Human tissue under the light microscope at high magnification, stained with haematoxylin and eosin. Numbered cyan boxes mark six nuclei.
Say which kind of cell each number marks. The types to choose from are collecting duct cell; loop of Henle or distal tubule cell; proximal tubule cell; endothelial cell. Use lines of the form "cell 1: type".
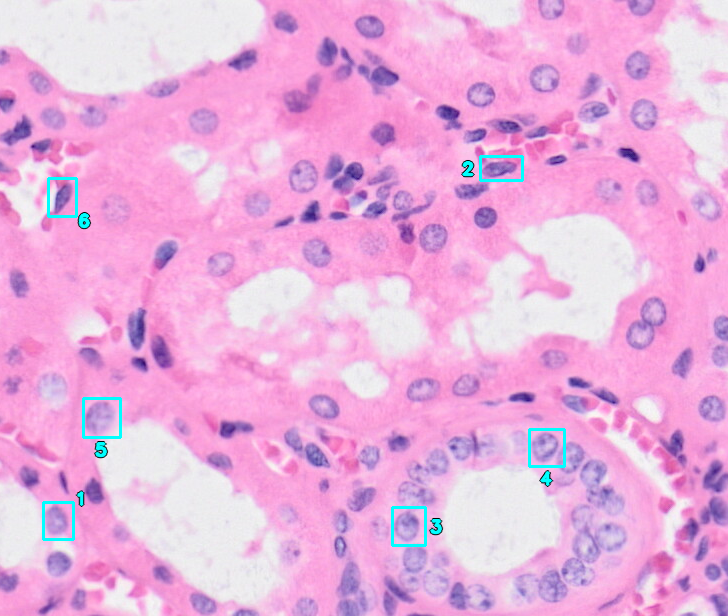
cell 1: loop of Henle or distal tubule cell
cell 2: endothelial cell
cell 3: collecting duct cell
cell 4: collecting duct cell
cell 5: loop of Henle or distal tubule cell
cell 6: endothelial cell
